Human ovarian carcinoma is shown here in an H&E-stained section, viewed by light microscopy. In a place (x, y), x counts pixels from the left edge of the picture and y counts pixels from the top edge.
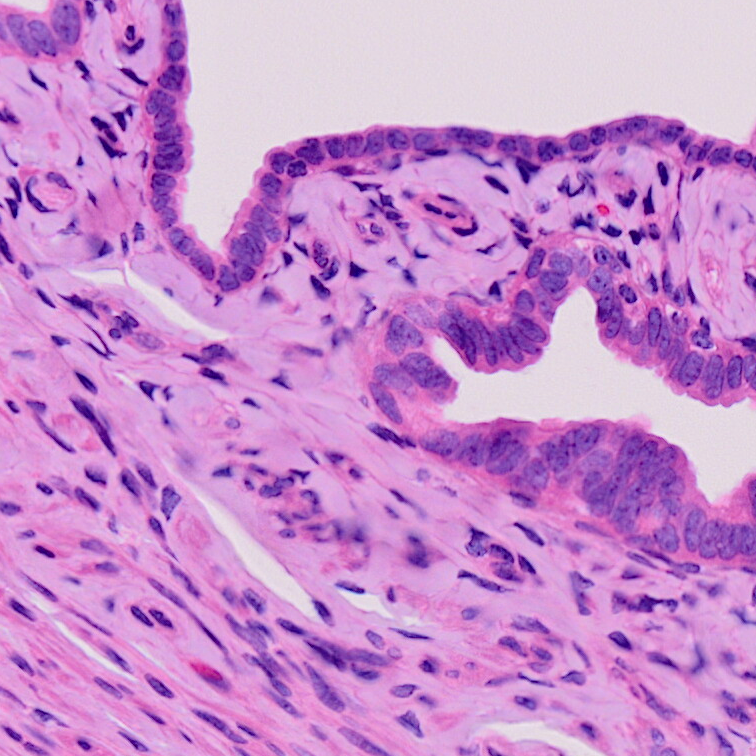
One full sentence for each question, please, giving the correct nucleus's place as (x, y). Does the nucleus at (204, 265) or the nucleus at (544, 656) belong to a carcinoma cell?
Identified as belonging to a carcinoma cell is the nucleus at (204, 265).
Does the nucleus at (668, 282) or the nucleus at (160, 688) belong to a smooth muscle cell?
The nucleus whose cell is a smooth muscle cell is the one at (160, 688).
